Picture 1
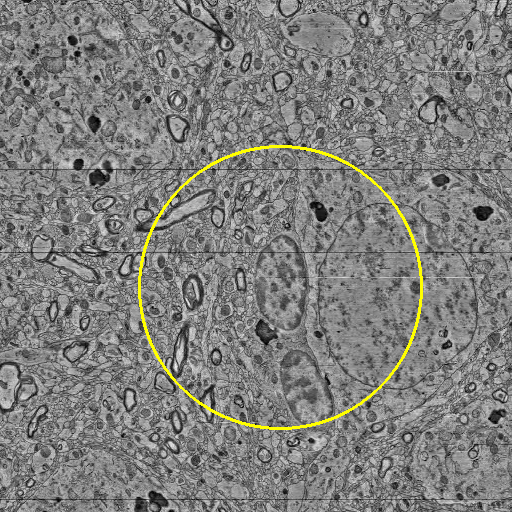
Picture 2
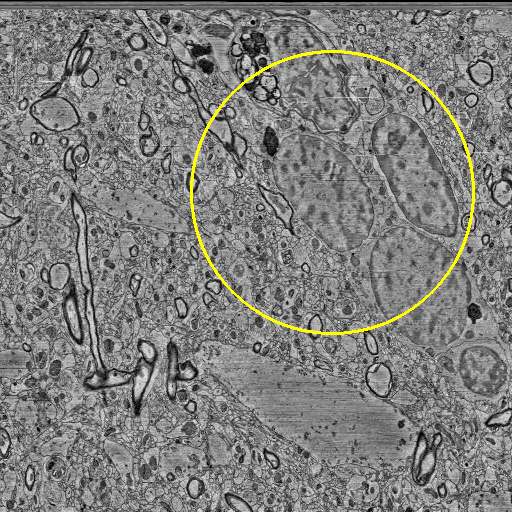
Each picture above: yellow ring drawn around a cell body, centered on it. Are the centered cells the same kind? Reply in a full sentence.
Yes, the two cells are the same kind.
